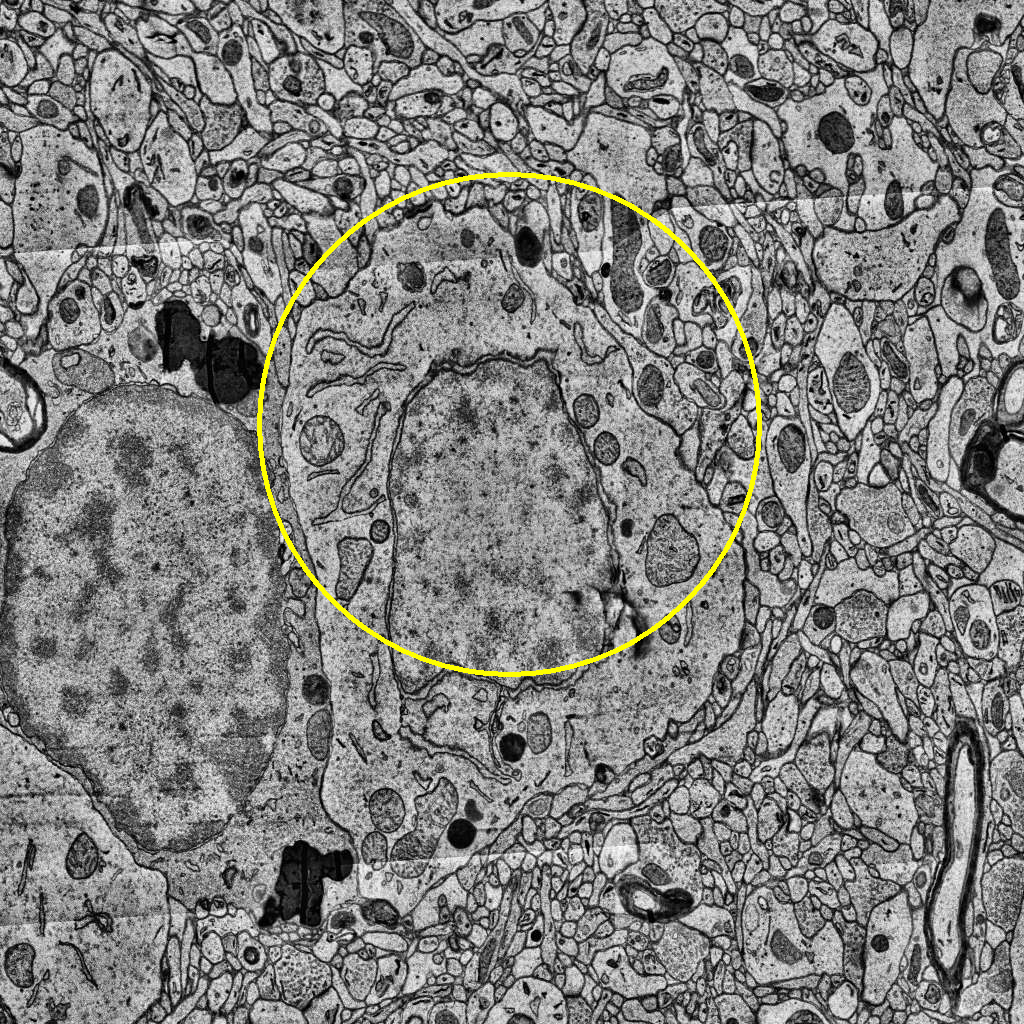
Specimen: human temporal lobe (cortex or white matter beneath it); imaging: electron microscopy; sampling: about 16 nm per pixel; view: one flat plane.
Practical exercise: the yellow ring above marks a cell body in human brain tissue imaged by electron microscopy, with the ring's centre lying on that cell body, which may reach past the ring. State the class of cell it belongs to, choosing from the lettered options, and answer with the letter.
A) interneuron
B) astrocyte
A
